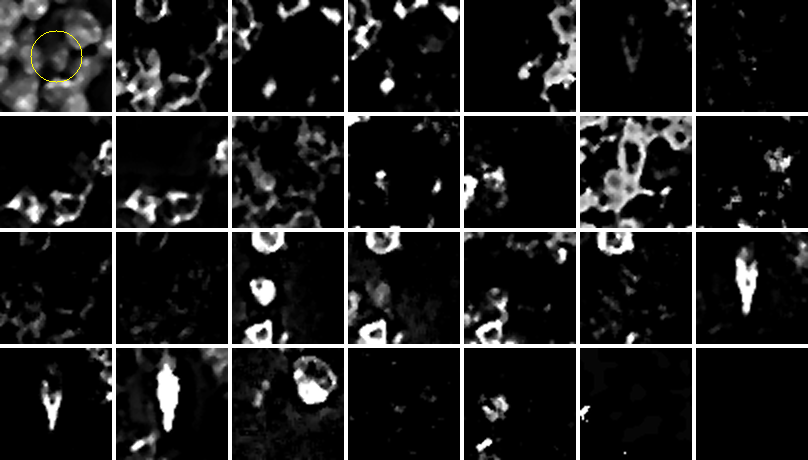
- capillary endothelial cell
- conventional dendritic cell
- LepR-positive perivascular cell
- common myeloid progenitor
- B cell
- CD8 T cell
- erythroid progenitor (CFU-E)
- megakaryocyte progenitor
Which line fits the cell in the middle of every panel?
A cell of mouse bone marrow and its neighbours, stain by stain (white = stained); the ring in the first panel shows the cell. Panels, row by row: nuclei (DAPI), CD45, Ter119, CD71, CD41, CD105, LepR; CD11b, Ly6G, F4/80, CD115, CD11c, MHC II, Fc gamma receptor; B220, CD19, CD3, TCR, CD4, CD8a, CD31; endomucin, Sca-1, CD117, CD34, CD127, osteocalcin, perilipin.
capillary endothelial cell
